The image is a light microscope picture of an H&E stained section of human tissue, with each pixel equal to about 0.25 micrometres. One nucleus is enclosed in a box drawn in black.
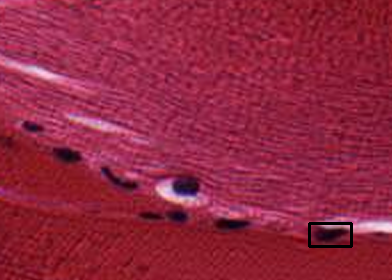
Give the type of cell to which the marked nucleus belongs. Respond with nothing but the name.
skeletal muscle fibre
